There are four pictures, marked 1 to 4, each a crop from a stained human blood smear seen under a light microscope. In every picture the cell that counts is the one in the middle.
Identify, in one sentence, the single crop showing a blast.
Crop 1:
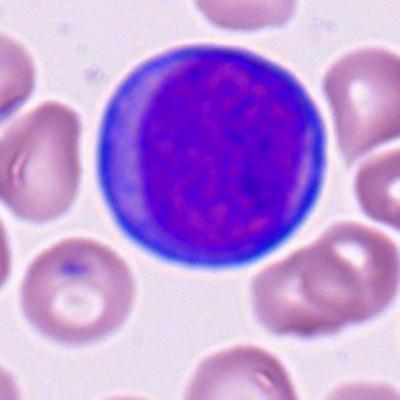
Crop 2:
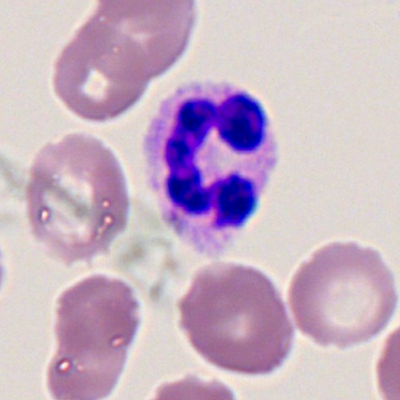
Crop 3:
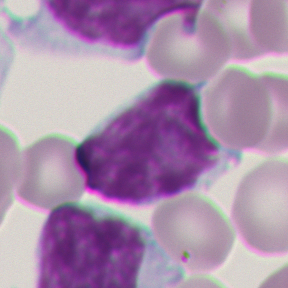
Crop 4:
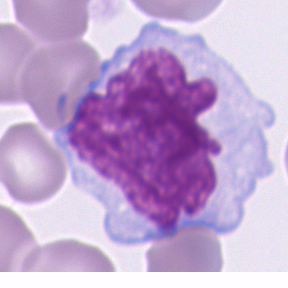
Crop 1 is where a blast is to be found.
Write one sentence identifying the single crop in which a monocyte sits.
The cell at the center of crop 4 is the one that is a monocyte.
